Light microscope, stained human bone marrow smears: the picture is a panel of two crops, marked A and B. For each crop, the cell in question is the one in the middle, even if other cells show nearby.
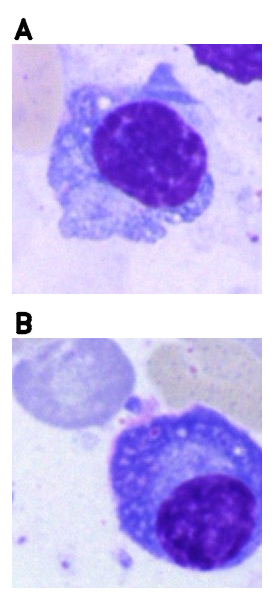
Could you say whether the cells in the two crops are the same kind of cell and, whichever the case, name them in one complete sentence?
Yes, both crops have plasma cells at the centre.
